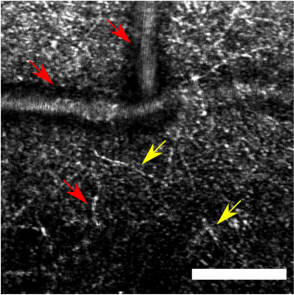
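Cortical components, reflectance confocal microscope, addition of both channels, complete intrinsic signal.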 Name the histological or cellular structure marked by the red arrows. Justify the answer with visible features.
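The bands are tubular, of even width, with a faintly striated grey interior and sharp edges. So: blood vessels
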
